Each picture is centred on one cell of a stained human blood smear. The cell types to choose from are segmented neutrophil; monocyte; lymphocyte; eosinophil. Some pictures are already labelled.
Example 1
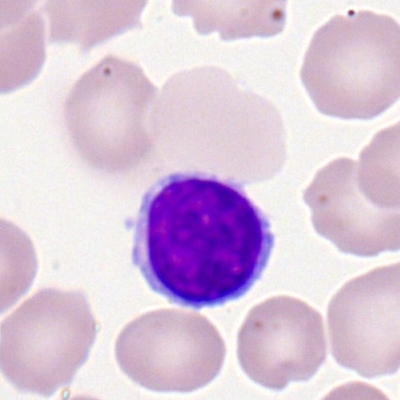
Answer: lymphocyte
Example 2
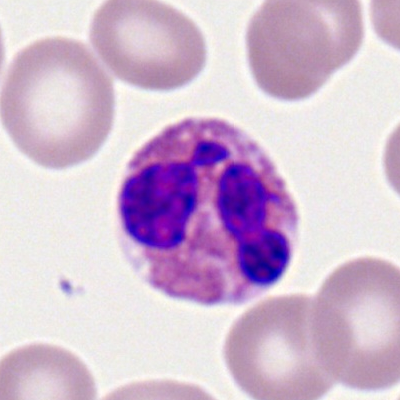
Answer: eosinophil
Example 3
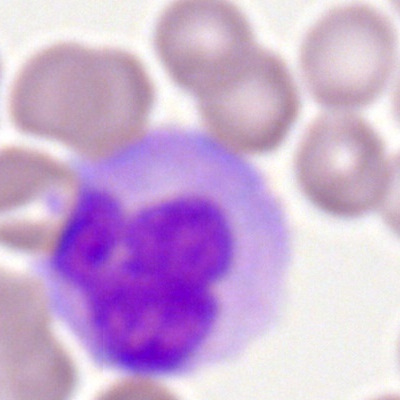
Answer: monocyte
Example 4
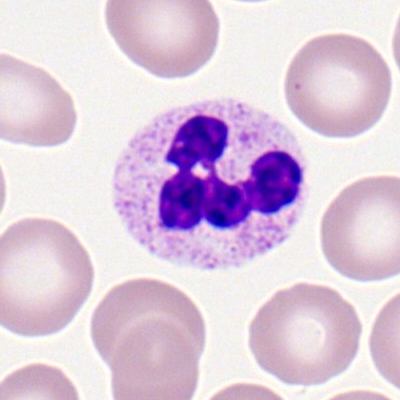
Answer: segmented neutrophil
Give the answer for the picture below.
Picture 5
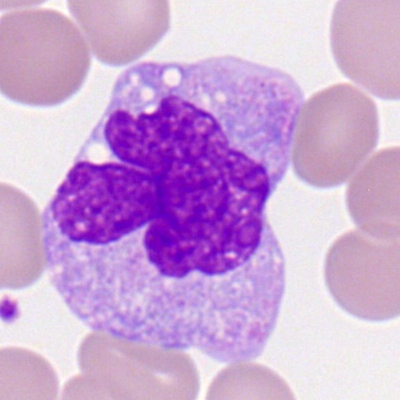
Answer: monocyte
